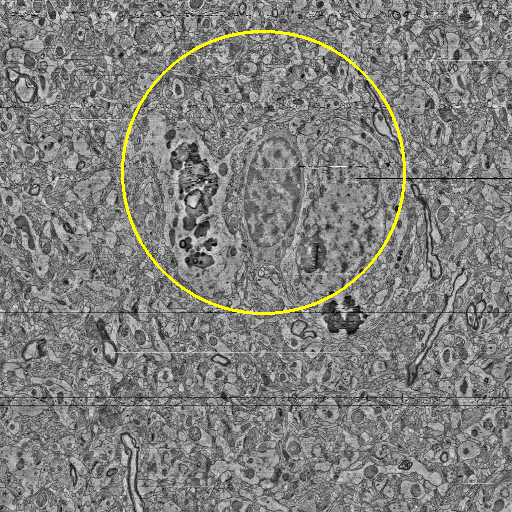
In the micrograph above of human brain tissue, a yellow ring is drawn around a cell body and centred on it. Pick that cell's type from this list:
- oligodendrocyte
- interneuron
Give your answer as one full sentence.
Going by the list, an oligodendrocyte is the cell on which the yellow ring is centred.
